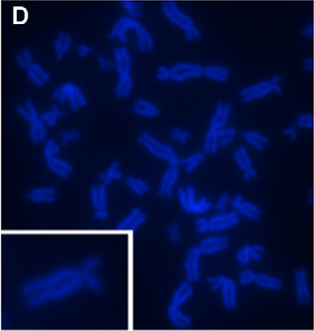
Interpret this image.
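This is a spread of condensed mitotic chromosomes stained blue on a dark background. The chromosomes are short and compact, of varying length, and many have an X shape or two parallel arms. The enlarged inset shows one chromosome in which two sister chromatids lie side by side, held together along their length. The chromosomes are well separated from one another, with no surrounding nucleus.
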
